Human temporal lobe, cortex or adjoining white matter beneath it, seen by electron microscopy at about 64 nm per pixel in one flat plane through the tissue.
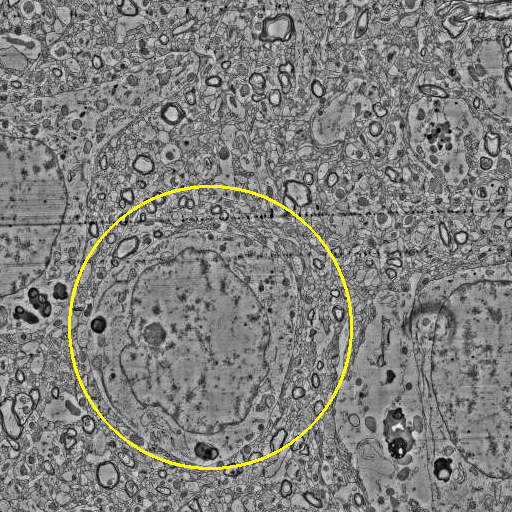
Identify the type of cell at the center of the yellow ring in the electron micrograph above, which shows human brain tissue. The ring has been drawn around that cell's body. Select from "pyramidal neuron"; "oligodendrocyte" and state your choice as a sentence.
The yellow ring is centered on the body of a pyramidal neuron.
